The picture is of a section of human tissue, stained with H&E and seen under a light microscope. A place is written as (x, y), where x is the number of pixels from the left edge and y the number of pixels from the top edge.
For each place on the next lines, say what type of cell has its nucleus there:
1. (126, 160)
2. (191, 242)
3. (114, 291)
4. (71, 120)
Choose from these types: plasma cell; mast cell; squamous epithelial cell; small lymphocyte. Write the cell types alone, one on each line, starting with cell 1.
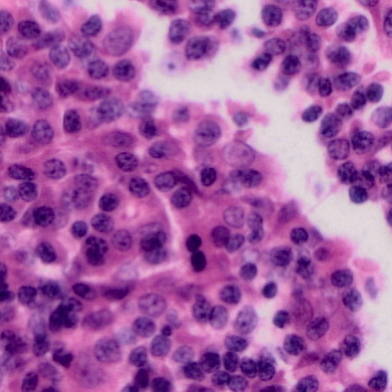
plasma cell
plasma cell
squamous epithelial cell
plasma cell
